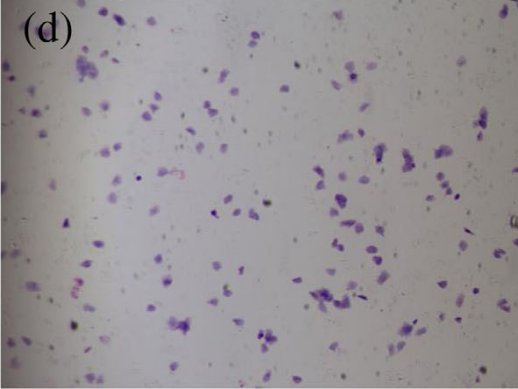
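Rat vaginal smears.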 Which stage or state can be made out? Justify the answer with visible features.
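Proestrus. Scattered medium-sized, rounded cells, some in small clusters, dominate the field. Small dark cells are few.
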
